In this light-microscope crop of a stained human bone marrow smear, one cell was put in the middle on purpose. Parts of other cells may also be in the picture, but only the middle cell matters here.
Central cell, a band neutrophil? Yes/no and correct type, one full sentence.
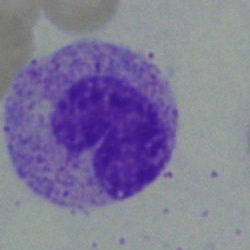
Yes, what sits in the middle of the crop is a band neutrophil.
